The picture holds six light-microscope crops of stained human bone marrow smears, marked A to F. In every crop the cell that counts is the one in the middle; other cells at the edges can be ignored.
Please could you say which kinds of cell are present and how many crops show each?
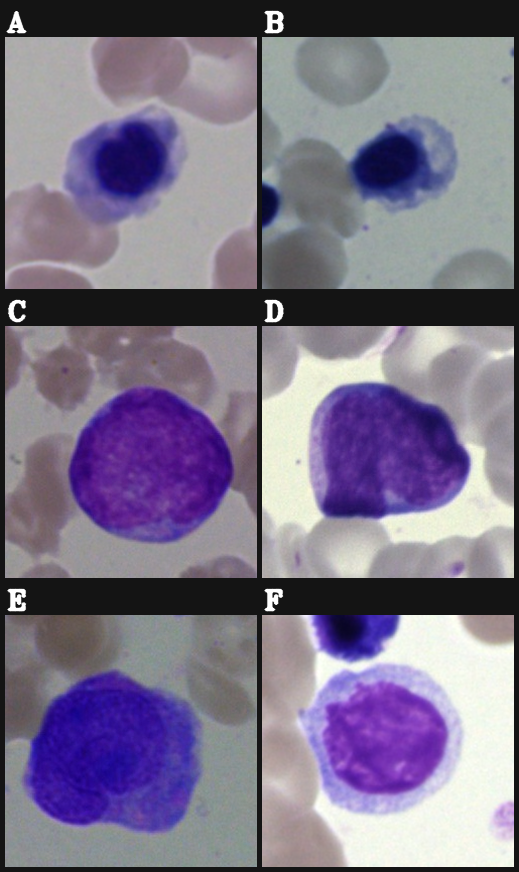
blast: 3
erythroblast: 2
lymphocyte: 1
